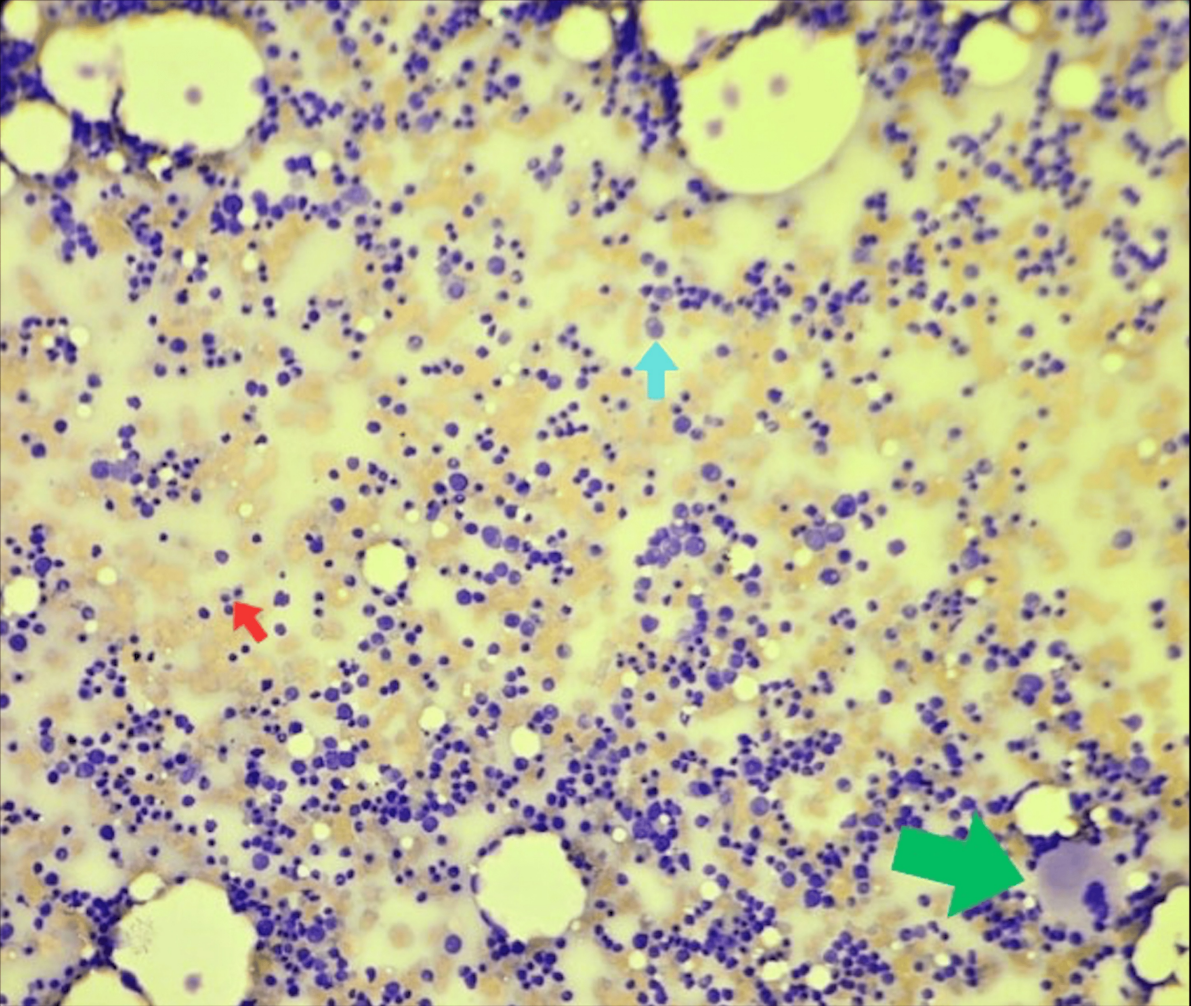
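This is a cellular bone marrow aspirate smear with many scattered haematopoietic cells lying among pale tan red cells and round clear fat spaces. Most nucleated cells are small and round with dense dark purple nuclei, mixed with somewhat larger, paler purple round cells. Large clear fat vacuoles of varying size lie mainly along the edges of the field. At the lower right lies a single very large cell with abundant pale lilac cytoplasm, far larger than any cell around it.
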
